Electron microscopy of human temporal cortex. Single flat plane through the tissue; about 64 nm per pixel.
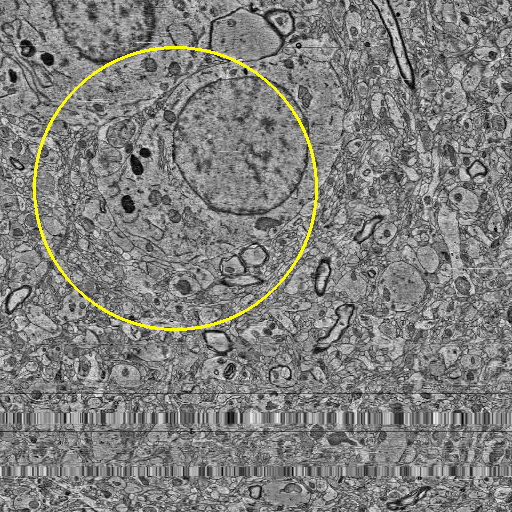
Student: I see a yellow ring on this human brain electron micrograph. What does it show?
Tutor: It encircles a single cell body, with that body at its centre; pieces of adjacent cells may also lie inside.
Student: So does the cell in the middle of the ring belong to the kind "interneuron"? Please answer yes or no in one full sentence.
No, that cell at the centre of the ring is one of another kind.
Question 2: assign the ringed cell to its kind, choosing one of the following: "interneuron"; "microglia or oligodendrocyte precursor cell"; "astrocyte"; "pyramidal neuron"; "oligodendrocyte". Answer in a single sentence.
The cell in question here is a pyramidal neuron.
